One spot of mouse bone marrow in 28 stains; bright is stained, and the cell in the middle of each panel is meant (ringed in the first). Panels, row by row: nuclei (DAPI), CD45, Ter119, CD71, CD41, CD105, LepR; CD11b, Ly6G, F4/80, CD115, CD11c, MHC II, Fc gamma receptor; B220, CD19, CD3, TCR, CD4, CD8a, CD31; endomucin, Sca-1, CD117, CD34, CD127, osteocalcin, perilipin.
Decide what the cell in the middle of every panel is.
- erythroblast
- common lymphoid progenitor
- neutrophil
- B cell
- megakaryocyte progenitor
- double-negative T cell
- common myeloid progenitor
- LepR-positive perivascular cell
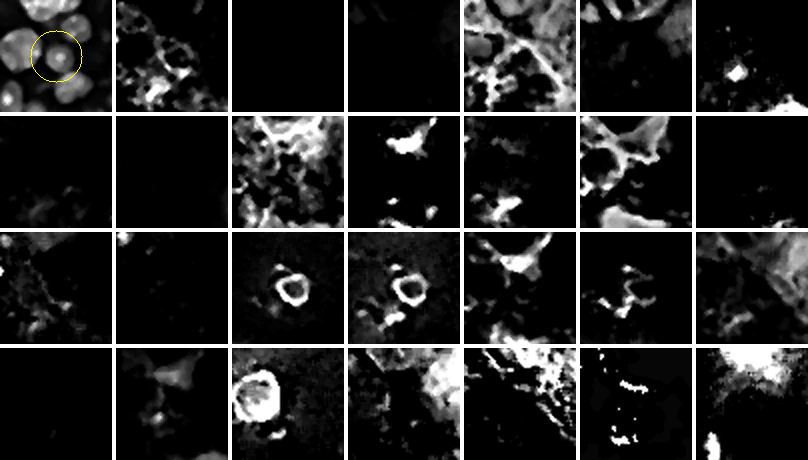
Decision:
double-negative T cell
